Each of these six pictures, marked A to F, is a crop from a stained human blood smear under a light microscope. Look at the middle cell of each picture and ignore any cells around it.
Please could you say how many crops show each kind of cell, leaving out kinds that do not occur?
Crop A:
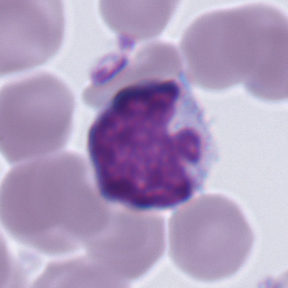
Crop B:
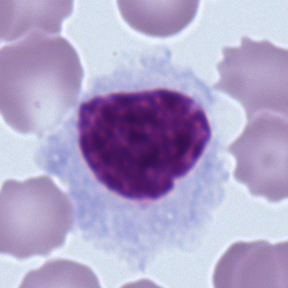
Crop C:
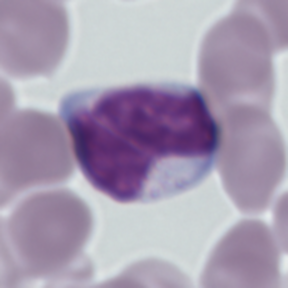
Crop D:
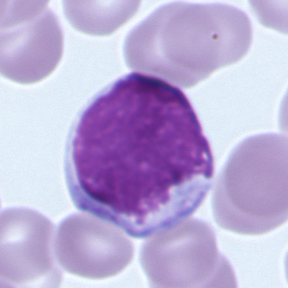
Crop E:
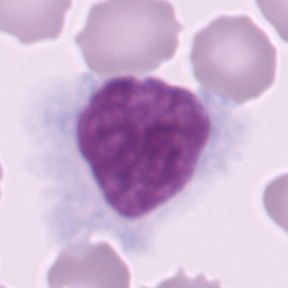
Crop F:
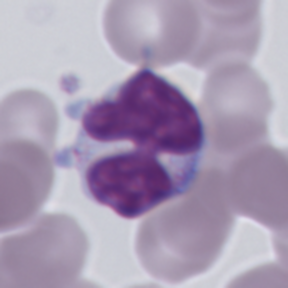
large granular lymphocyte: 4
hairy cell: 2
